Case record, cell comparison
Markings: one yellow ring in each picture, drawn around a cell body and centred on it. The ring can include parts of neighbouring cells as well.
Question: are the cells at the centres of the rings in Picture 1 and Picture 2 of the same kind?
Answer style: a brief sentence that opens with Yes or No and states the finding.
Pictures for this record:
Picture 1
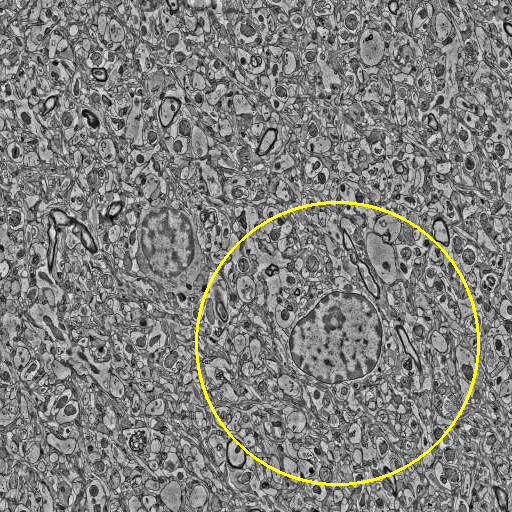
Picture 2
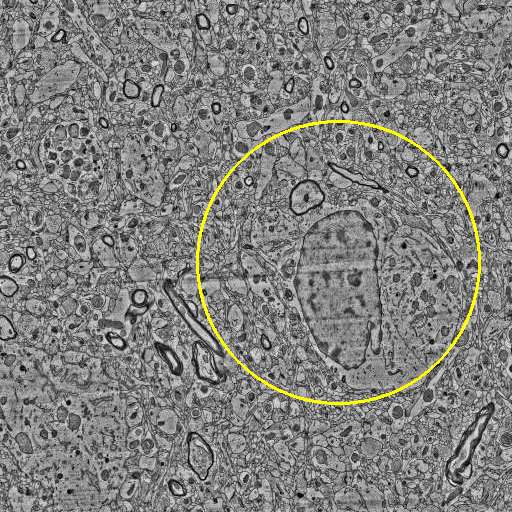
Yes, the cells in Picture 1 and Picture 2 are of the same kind.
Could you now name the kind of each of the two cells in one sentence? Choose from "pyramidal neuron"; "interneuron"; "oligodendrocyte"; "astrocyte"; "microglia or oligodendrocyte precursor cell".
Each of the two rings surrounds a microglial cell or oligodendrocyte precursor cell.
